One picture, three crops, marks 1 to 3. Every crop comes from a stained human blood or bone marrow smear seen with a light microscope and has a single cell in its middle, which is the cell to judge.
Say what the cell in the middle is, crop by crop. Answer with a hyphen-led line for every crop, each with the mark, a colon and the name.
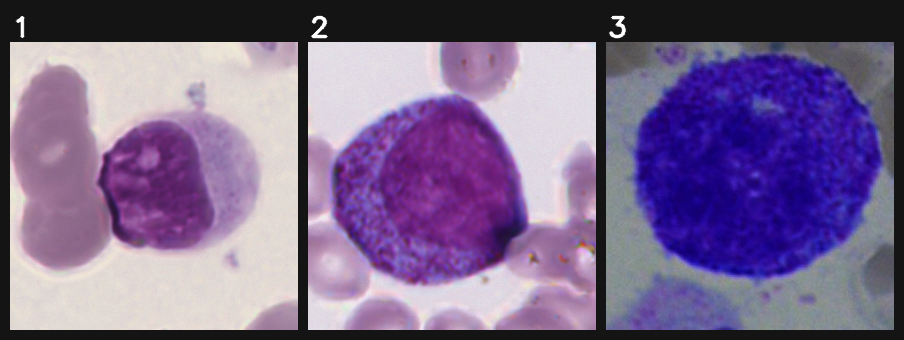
- 1: plasma cell
- 2: promyelocyte
- 3: promyelocyte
